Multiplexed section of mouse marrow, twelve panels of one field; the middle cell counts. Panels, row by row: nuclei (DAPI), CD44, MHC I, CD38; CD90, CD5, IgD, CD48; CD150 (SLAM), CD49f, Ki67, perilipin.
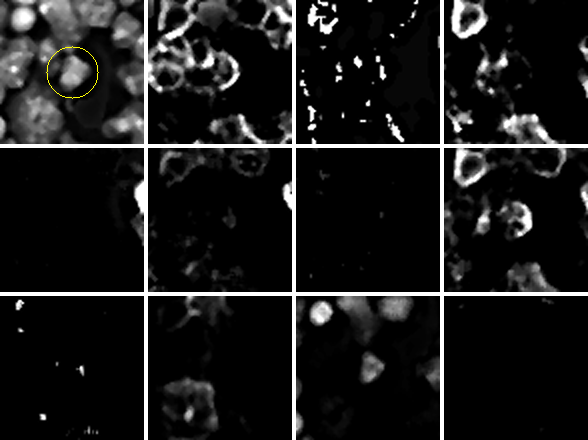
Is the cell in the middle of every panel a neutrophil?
No, it is a capillary endothelial cell.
